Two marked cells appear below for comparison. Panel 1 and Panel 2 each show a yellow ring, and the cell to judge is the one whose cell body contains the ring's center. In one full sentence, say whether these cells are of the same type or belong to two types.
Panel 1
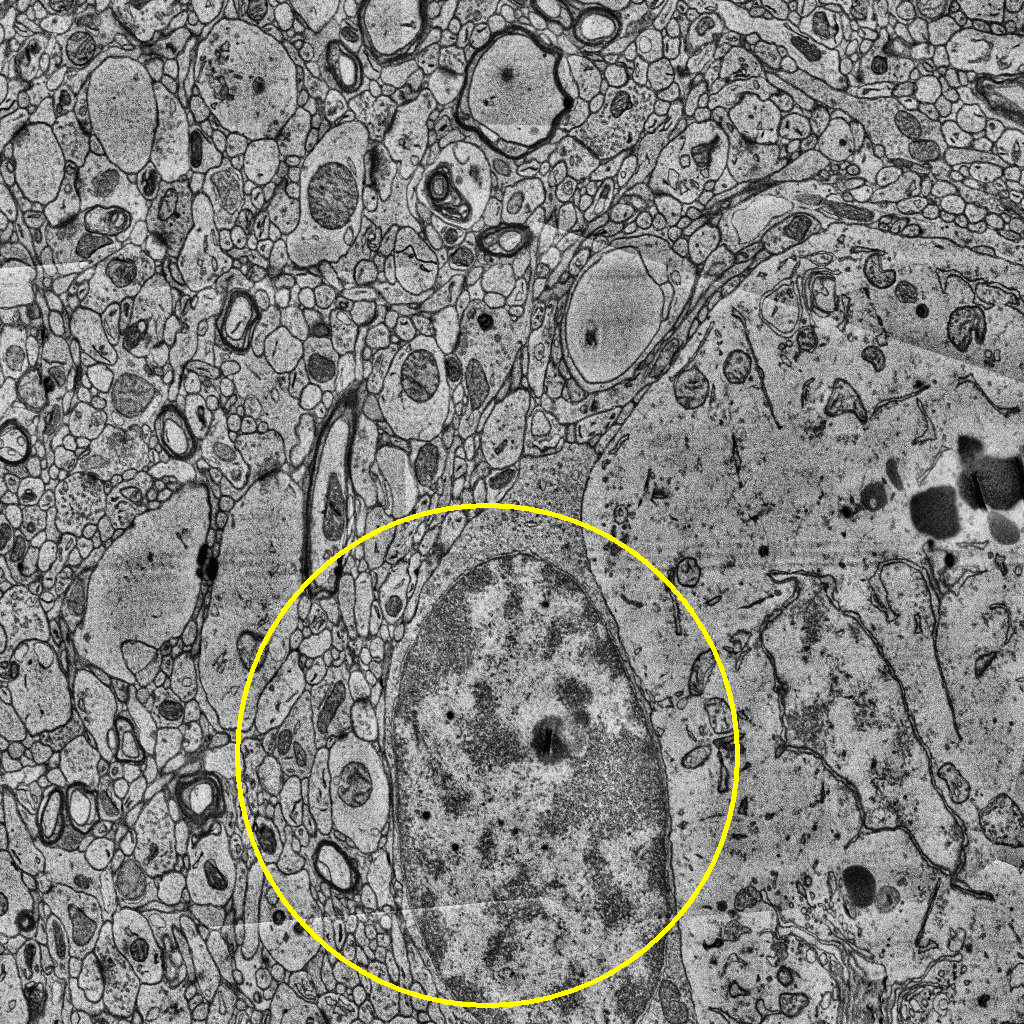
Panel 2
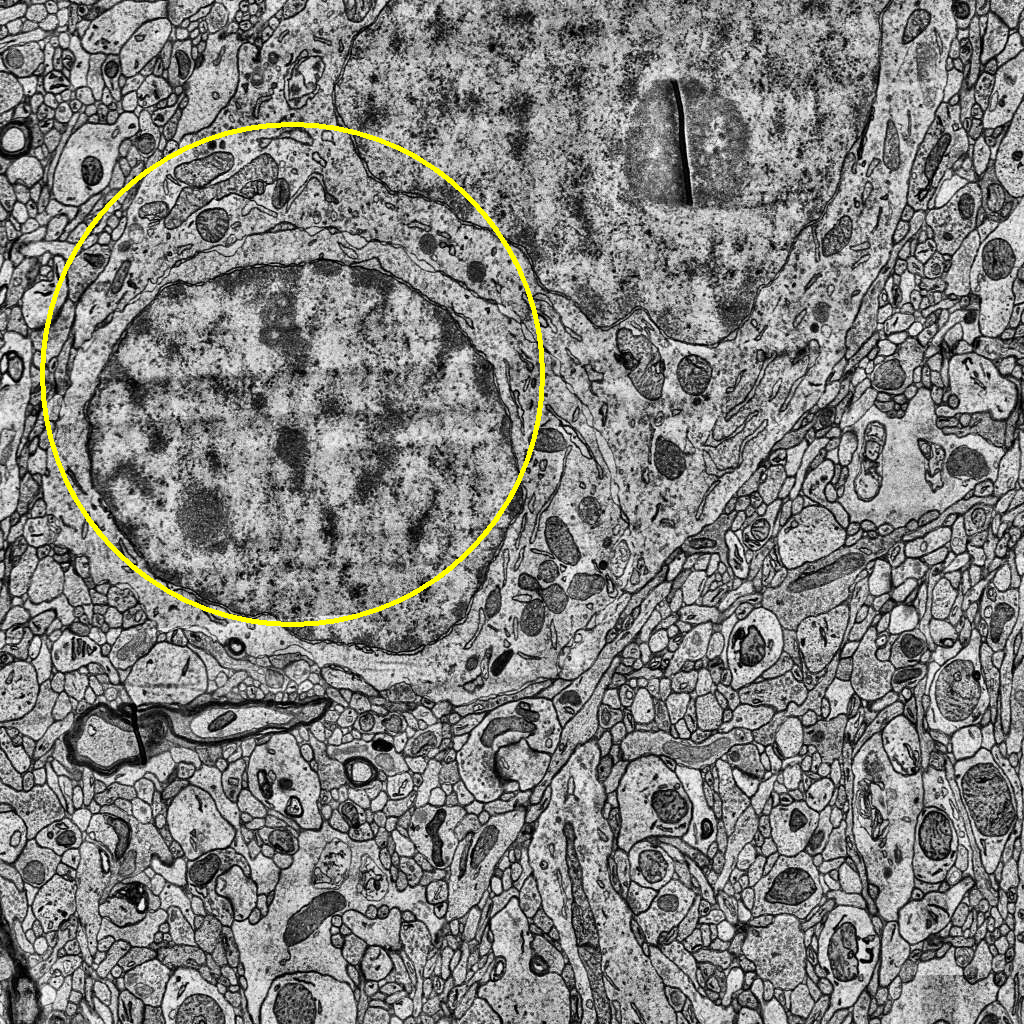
The cell at the ring's center in Panel 1 and the one in Panel 2 belong to two types.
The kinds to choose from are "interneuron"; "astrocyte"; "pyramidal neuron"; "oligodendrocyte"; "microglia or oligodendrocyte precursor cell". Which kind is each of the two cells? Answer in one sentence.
In the first picture it is an oligodendrocyte; in the second it is a microglial cell or oligodendrocyte precursor cell.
